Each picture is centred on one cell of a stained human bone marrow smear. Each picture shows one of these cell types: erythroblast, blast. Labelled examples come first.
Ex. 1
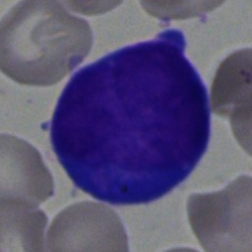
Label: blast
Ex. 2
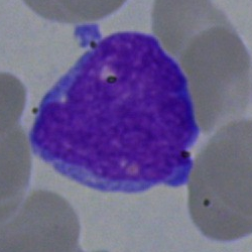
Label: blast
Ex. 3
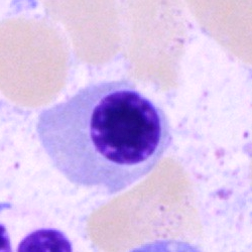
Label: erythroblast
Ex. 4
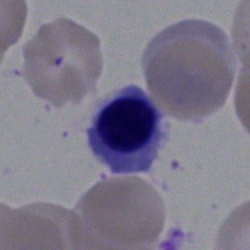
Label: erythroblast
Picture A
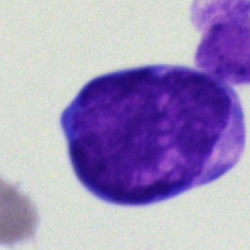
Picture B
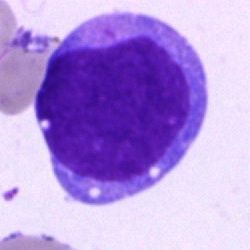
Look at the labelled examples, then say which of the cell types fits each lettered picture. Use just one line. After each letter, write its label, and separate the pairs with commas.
A blast, B blast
